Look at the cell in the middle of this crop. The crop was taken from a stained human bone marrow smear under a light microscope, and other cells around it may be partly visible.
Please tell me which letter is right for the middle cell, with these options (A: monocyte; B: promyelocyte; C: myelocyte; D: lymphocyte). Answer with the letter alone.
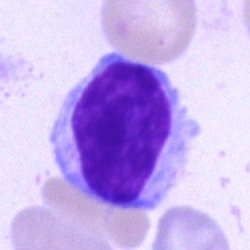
D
